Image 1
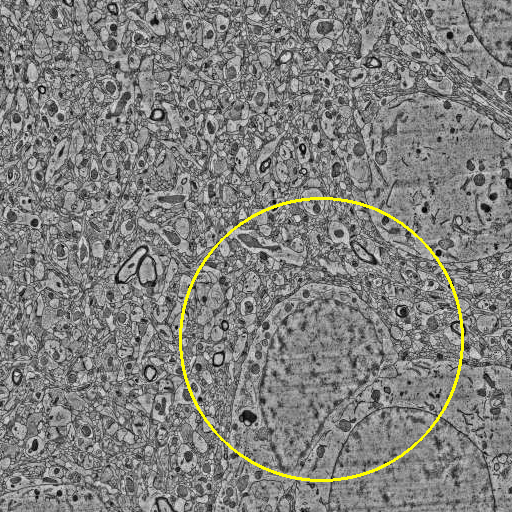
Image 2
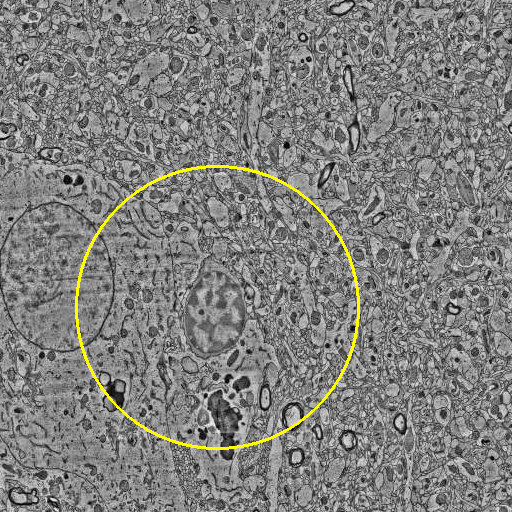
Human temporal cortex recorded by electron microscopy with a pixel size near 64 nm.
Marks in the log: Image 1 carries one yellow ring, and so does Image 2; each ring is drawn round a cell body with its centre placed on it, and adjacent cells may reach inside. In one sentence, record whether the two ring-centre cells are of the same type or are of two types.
The two cells at the ring centres, one in each image, are of two types.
